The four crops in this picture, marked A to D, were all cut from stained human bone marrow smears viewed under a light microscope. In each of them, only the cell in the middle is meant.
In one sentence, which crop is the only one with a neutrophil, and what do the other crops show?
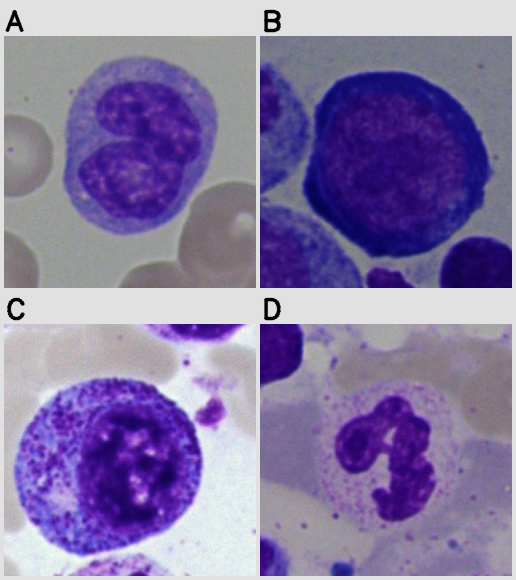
In crop D there is a neutrophil, while crop A is a monocyte, crop B is a proerythroblast and crop C is a promyelocyte.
